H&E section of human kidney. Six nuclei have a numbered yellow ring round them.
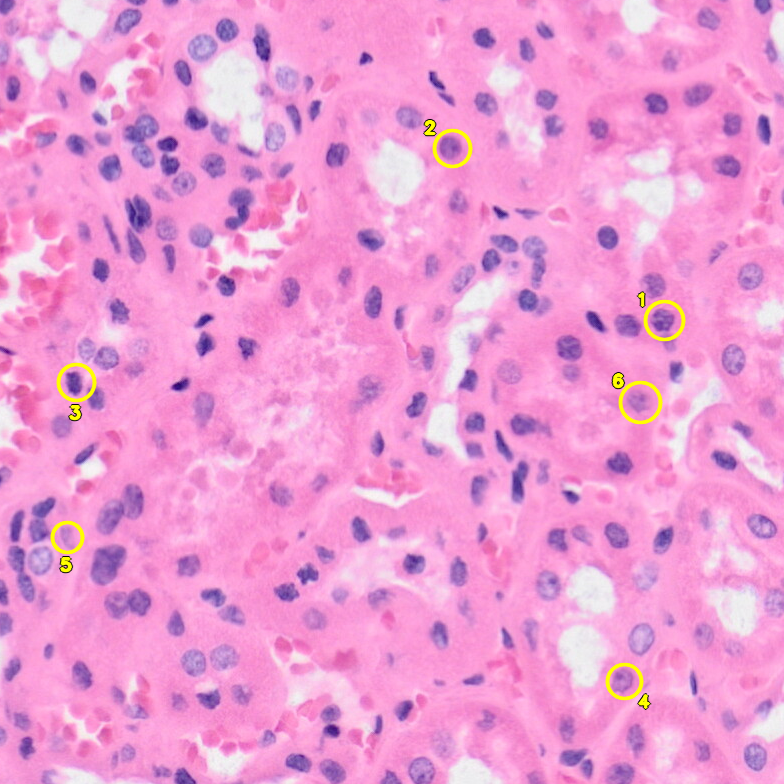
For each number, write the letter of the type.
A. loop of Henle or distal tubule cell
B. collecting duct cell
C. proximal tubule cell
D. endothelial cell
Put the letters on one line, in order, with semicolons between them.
C; C; A; C; B; C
